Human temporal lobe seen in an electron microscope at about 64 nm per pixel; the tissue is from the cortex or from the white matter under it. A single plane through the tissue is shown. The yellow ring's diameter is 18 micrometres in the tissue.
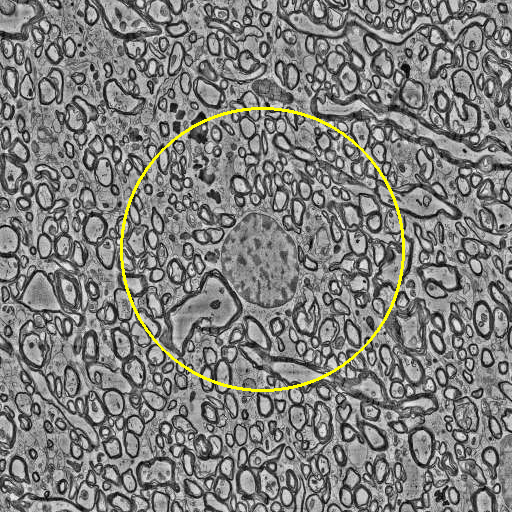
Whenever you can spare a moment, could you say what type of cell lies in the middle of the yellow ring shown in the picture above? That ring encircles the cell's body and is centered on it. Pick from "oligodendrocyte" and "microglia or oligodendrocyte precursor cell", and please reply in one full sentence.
The cell whose body sits at the middle of the yellow ring is a microglial cell or oligodendrocyte precursor cell.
